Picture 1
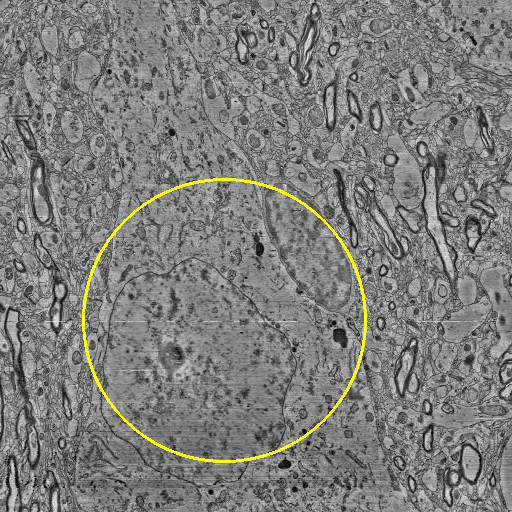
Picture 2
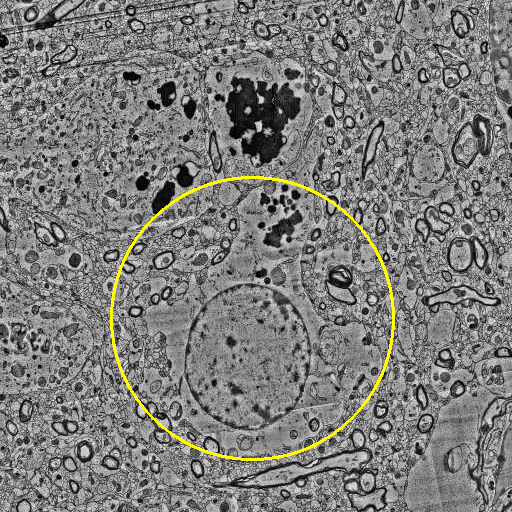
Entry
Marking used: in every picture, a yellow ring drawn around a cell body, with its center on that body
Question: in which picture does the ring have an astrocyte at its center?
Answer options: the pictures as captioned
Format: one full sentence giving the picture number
Picture 2 is where the ring's center falls on the requested cell.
